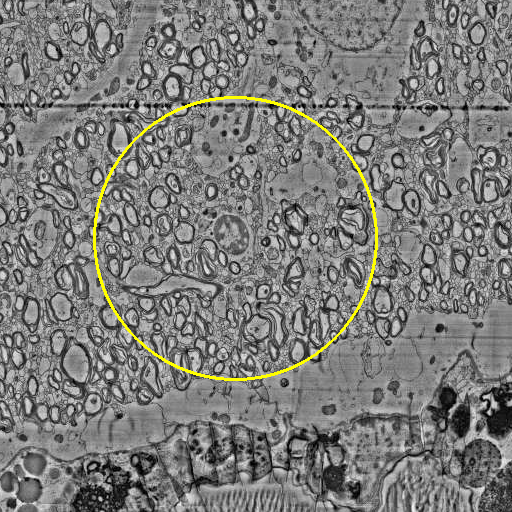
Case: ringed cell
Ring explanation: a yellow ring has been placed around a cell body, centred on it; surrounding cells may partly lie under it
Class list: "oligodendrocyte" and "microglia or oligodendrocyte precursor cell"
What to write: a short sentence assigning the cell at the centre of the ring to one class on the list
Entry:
The cell at the ring's centre is a microglial cell or oligodendrocyte precursor cell.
